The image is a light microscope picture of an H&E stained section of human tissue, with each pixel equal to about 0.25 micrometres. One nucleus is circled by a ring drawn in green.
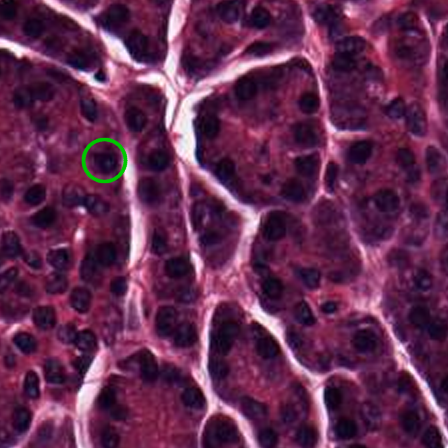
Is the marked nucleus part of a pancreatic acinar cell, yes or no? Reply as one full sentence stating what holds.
Yes, a pancreatic acinar cell is the cell to which the marked nucleus belongs.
